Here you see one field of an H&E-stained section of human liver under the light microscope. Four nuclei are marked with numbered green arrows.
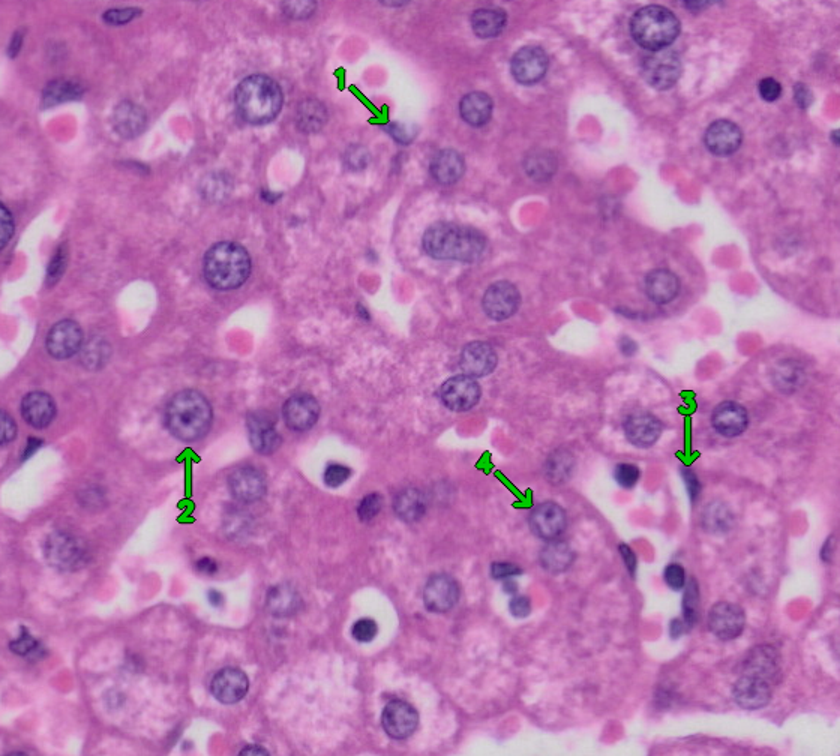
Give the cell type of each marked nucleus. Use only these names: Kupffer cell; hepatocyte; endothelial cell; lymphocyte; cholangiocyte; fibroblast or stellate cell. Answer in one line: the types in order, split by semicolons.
endothelial cell; hepatocyte; fibroblast or stellate cell; hepatocyte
